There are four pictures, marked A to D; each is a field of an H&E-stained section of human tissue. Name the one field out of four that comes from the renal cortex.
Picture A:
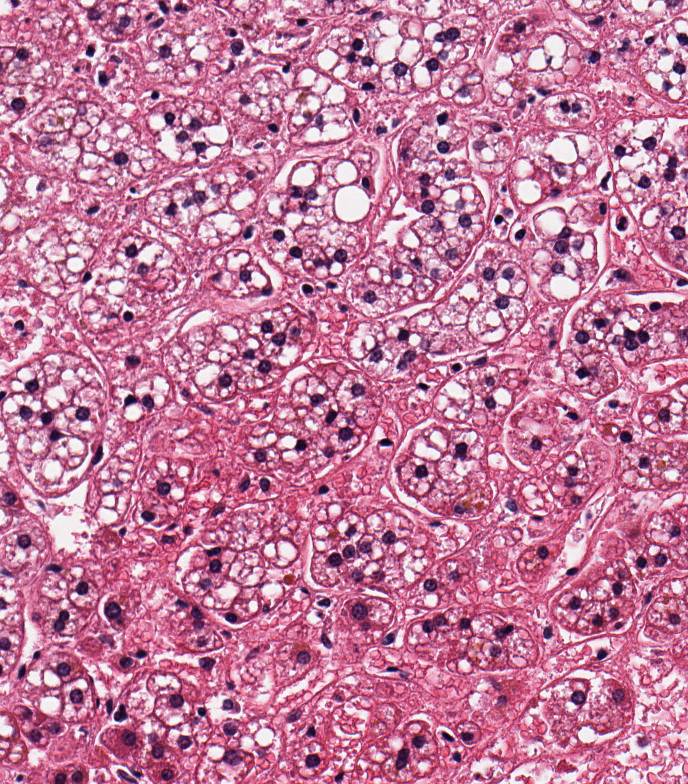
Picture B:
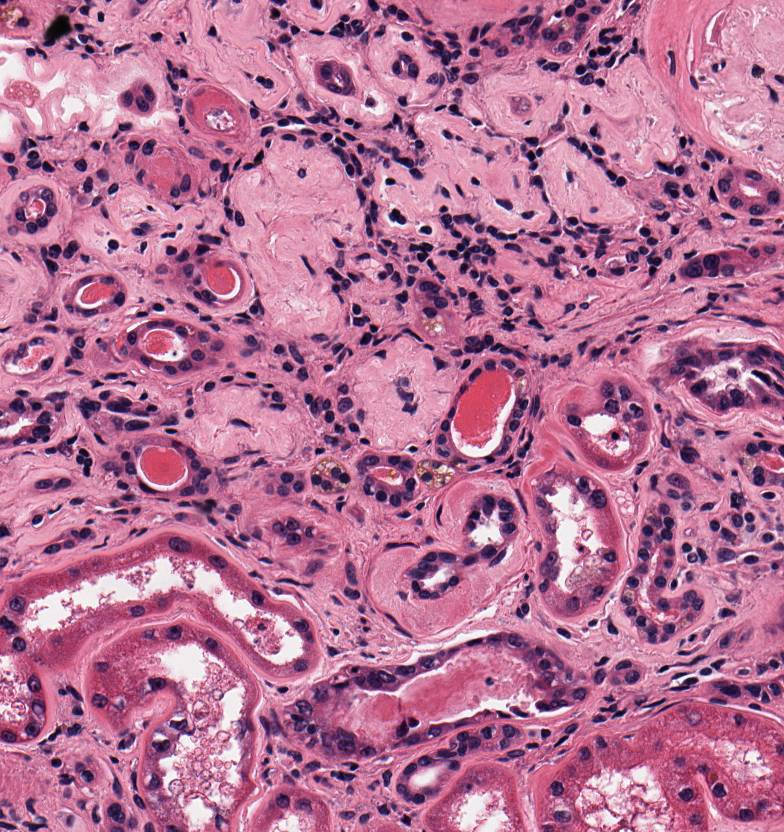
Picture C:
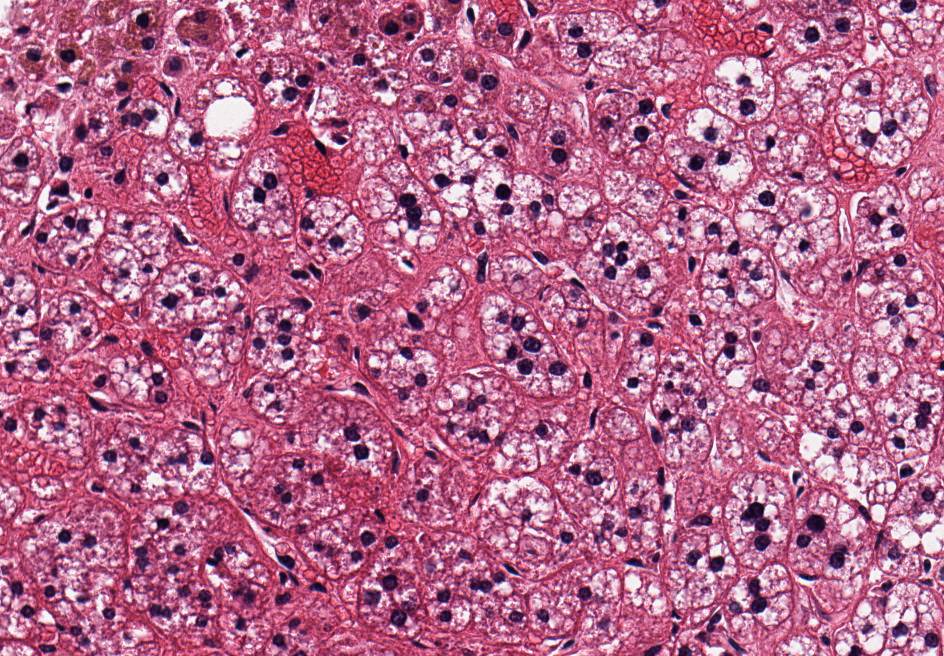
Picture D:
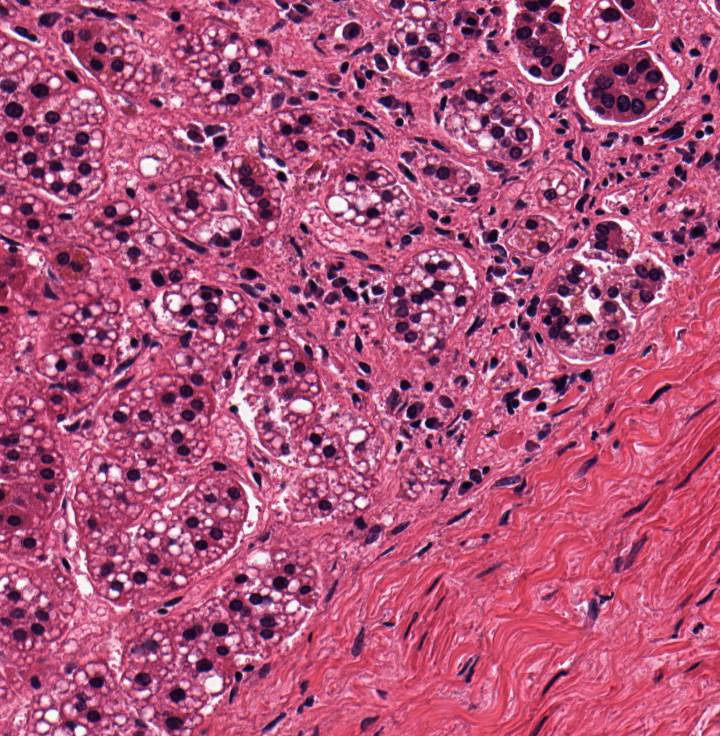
B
